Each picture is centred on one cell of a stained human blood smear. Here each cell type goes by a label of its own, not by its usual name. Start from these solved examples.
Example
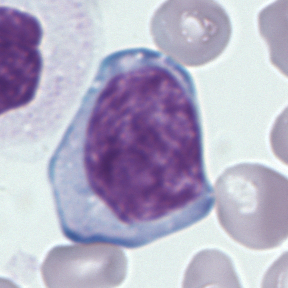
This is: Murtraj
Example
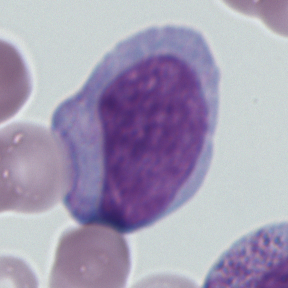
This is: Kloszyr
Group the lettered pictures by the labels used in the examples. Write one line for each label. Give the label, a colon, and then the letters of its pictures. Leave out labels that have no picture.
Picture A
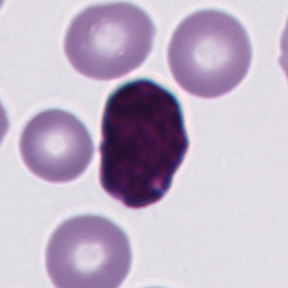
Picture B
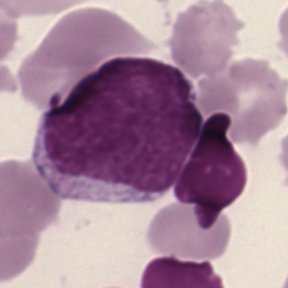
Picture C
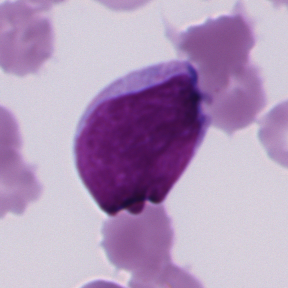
Murtraj: A, B, C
